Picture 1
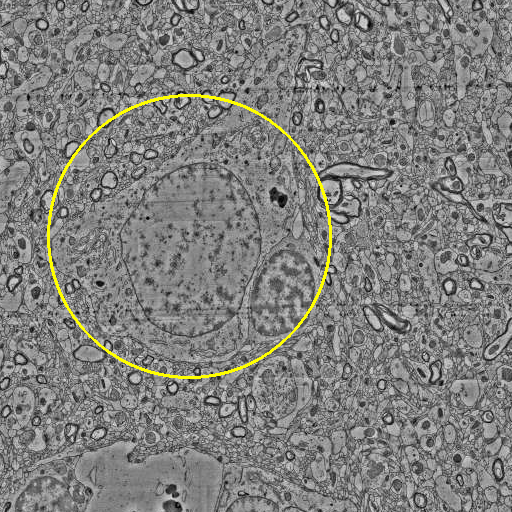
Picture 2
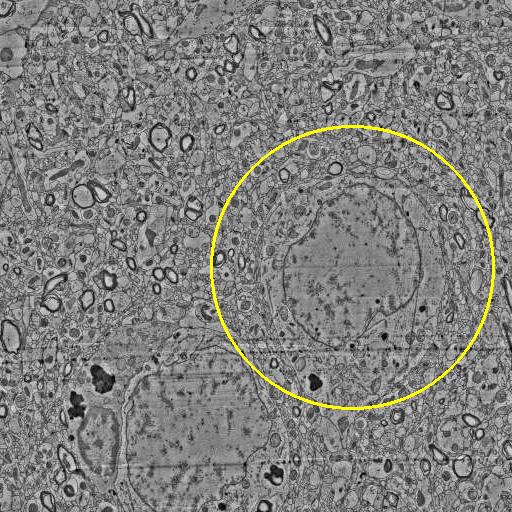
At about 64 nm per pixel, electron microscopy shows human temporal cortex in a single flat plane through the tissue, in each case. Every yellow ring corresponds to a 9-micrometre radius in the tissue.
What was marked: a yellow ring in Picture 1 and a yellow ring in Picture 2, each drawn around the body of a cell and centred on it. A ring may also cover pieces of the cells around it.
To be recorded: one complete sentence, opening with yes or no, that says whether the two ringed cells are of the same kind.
Yes, the two ringed cells are of the same kind.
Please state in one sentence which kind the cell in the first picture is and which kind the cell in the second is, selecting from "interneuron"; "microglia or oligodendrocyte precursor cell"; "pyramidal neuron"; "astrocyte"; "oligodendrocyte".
Each of the two rings surrounds a pyramidal neuron.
